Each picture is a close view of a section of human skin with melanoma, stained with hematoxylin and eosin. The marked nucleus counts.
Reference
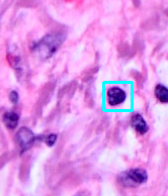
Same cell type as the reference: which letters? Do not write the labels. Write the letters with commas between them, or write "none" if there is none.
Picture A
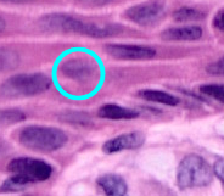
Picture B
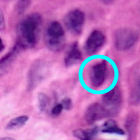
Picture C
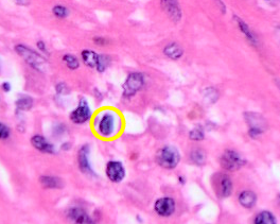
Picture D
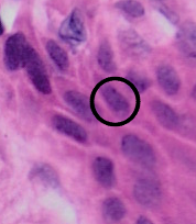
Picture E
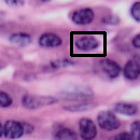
C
